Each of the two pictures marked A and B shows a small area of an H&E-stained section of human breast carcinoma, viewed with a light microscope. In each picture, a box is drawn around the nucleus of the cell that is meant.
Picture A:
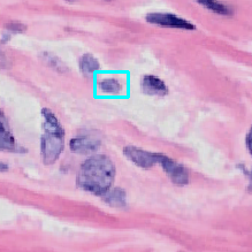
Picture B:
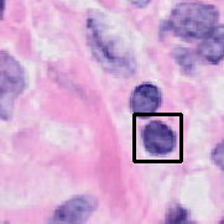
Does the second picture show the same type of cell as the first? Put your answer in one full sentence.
No, picture A shows a lymphocyte and picture B shows a carcinoma cell.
